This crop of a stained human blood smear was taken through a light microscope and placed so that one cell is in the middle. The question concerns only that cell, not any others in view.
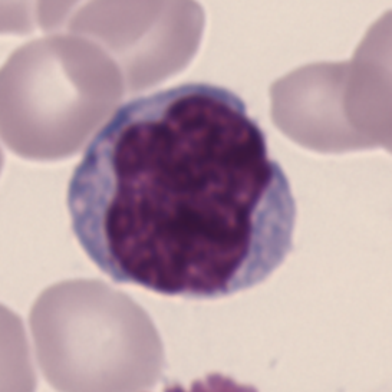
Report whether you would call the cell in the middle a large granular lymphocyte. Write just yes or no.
no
